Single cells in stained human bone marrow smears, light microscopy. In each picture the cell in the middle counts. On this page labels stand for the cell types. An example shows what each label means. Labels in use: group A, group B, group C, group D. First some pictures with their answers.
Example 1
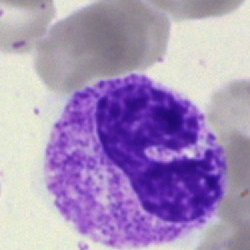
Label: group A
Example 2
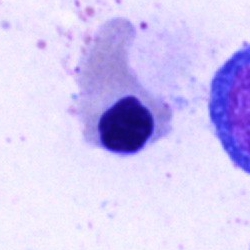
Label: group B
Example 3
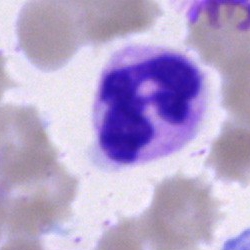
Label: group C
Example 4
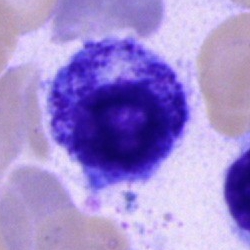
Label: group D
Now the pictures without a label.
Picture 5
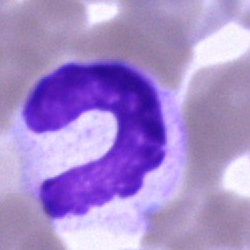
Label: group A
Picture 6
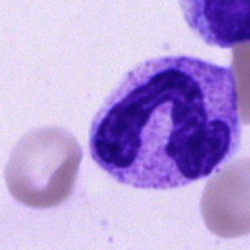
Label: group A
